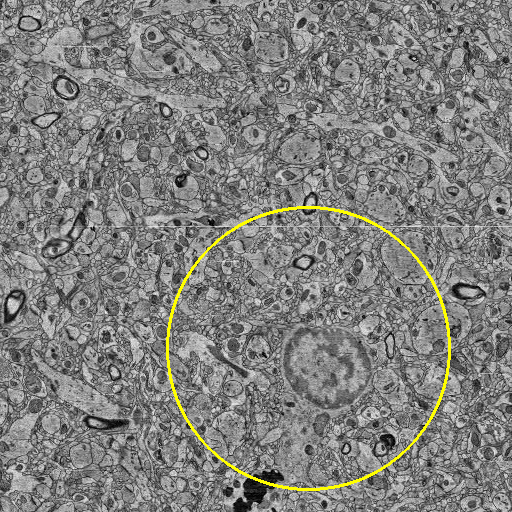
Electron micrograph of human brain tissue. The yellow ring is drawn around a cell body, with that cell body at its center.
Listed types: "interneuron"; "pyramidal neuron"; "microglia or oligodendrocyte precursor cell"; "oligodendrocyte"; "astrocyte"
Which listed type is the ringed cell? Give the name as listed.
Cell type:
oligodendrocyte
